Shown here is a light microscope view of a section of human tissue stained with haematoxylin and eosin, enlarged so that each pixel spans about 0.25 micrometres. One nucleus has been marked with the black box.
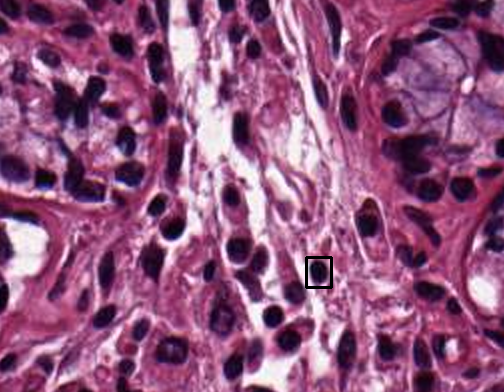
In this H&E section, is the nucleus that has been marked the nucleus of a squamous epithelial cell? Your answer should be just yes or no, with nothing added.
no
